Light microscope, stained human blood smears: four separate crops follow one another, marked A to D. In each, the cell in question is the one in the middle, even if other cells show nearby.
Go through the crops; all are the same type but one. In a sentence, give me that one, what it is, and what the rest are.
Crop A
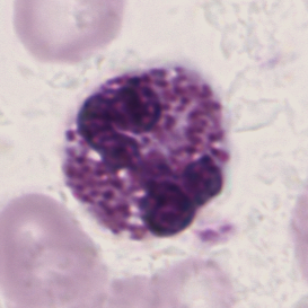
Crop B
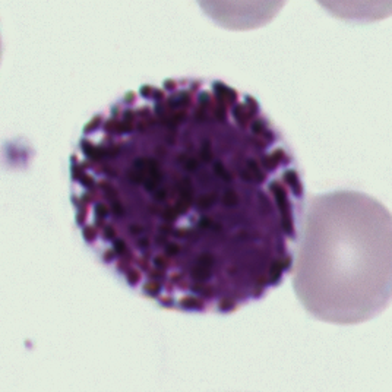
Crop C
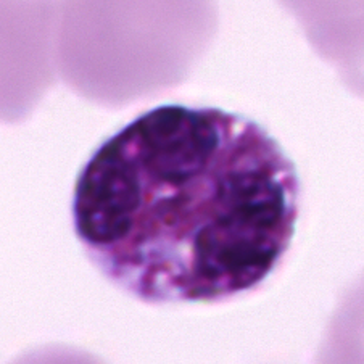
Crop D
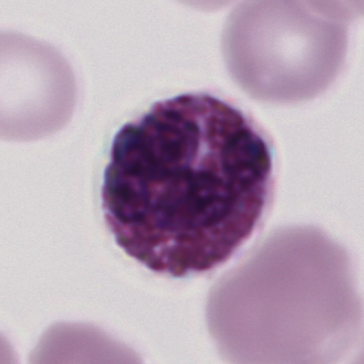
There is a basophil in crop B, while all the other crops show eosinophils.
